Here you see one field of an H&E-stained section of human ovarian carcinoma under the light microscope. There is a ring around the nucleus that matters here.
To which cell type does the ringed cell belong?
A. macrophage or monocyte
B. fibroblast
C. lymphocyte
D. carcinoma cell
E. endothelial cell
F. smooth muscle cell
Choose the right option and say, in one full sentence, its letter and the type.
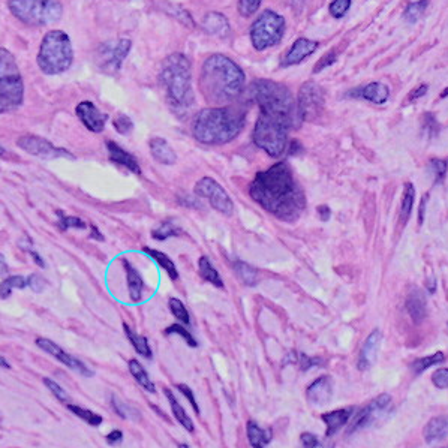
As stated in option B, the ringed cell is a fibroblast.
